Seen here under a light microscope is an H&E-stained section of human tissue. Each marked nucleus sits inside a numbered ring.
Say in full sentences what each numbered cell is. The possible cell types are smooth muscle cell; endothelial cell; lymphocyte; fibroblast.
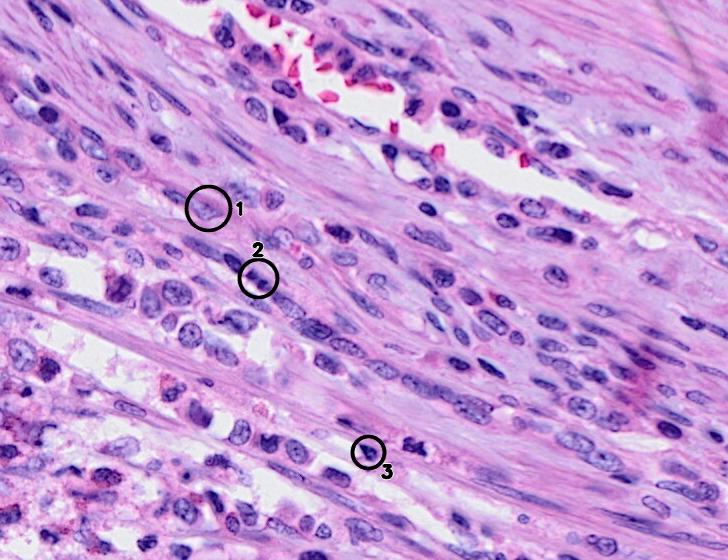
Cell 1 is an endothelial cell, cell 2 is a lymphocyte and cell 3 is a lymphocyte.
